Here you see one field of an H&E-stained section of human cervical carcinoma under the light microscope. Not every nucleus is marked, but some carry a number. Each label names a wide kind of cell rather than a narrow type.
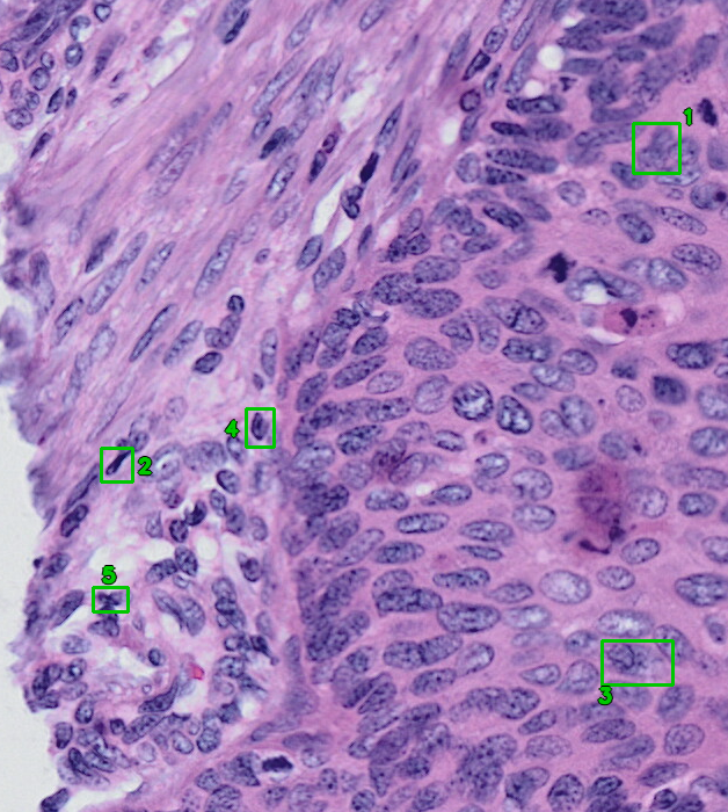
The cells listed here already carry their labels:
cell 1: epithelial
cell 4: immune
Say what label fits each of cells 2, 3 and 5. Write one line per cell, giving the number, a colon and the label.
2: immune
3: epithelial
5: immune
